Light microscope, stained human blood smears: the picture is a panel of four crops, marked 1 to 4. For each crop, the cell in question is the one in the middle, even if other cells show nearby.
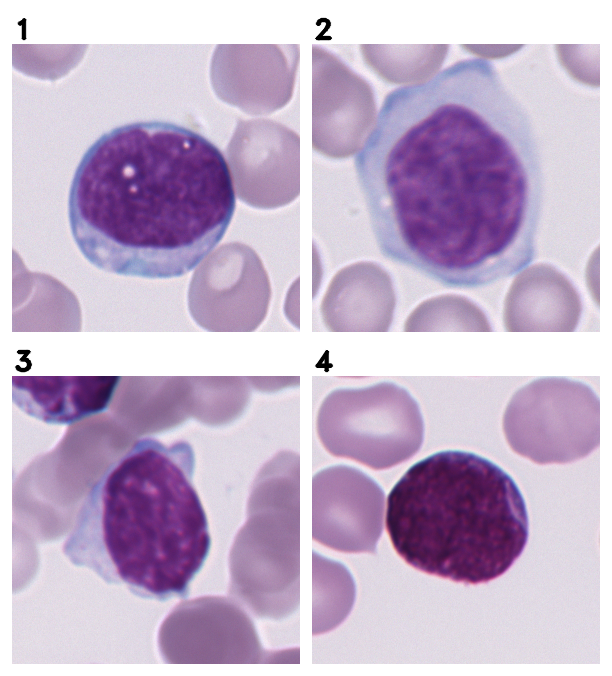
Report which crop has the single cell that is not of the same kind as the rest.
3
